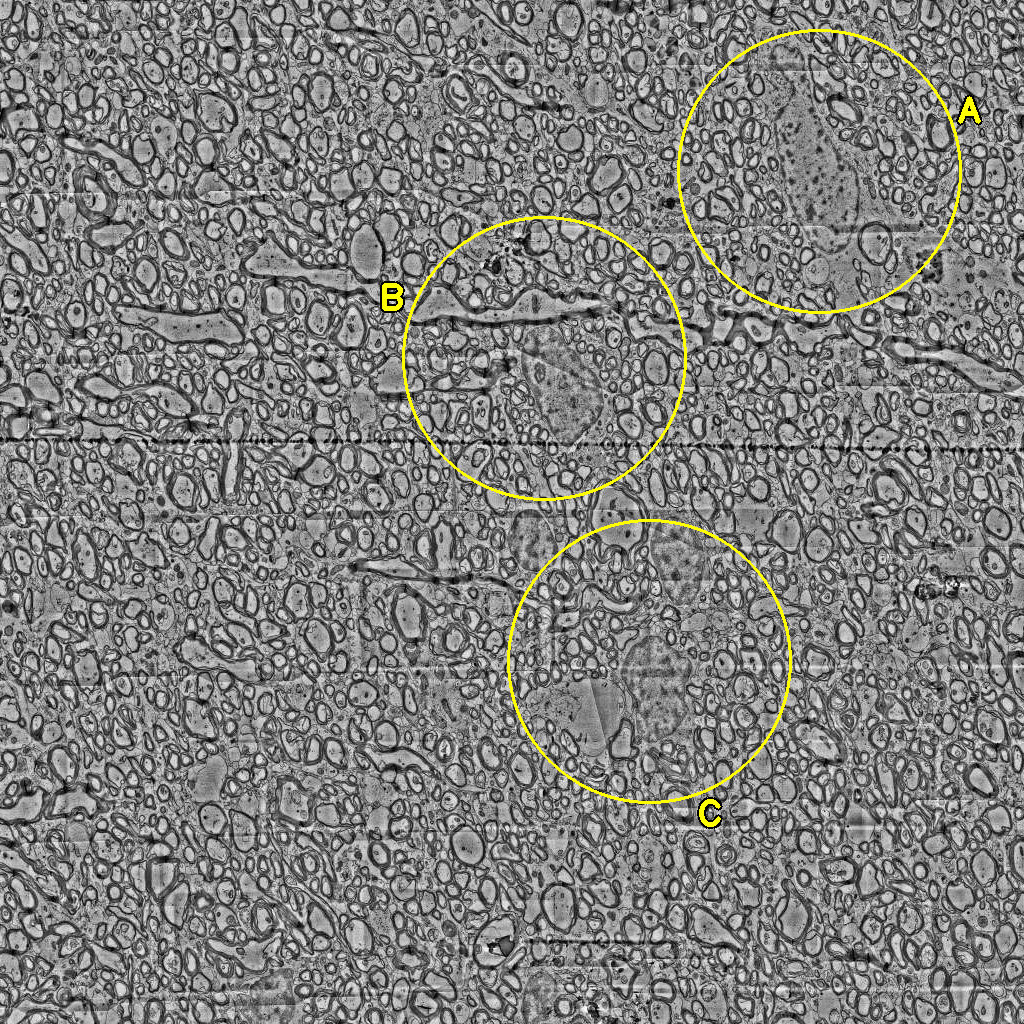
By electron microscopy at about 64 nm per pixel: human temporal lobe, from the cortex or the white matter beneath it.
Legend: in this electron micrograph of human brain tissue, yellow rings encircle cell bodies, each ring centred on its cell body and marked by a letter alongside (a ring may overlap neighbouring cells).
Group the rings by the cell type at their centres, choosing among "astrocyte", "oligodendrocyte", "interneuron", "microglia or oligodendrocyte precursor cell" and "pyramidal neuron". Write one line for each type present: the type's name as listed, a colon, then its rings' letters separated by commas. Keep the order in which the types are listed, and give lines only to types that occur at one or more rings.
astrocyte: A
oligodendrocyte: B, C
